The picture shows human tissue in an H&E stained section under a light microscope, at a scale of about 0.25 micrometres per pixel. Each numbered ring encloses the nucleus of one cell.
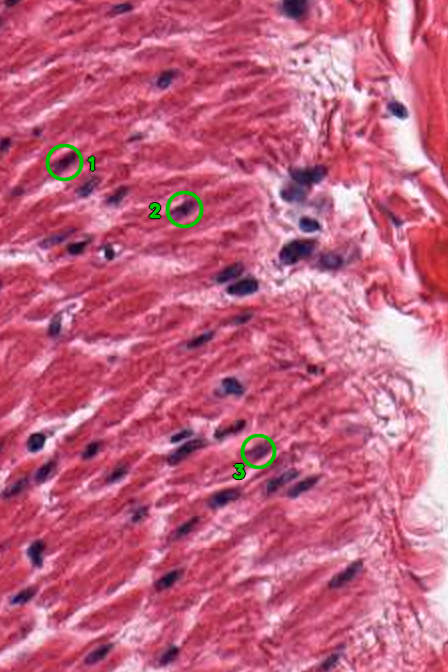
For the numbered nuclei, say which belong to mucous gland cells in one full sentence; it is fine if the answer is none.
The cells indicated by the numbered nuclei are not mucous gland cells.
